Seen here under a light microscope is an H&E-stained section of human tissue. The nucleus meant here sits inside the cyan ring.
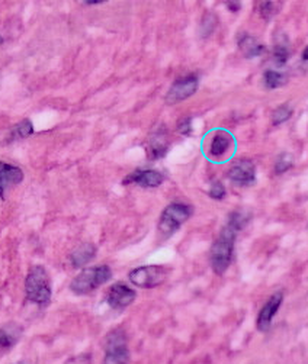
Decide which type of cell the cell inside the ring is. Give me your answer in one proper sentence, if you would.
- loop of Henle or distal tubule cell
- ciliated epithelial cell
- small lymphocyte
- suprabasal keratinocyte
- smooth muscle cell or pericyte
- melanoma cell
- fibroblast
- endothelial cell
Within this tissue, the cell inside the ring is a smooth muscle cell or pericyte.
